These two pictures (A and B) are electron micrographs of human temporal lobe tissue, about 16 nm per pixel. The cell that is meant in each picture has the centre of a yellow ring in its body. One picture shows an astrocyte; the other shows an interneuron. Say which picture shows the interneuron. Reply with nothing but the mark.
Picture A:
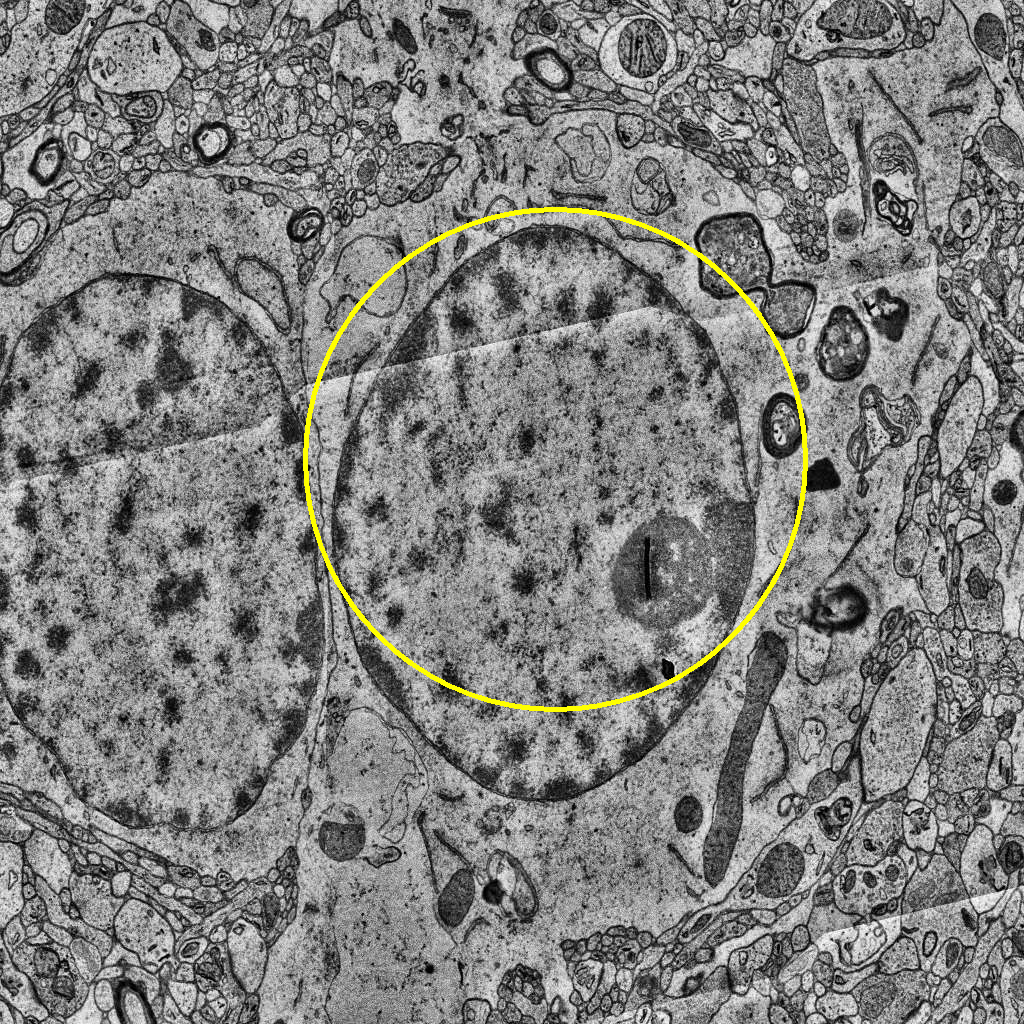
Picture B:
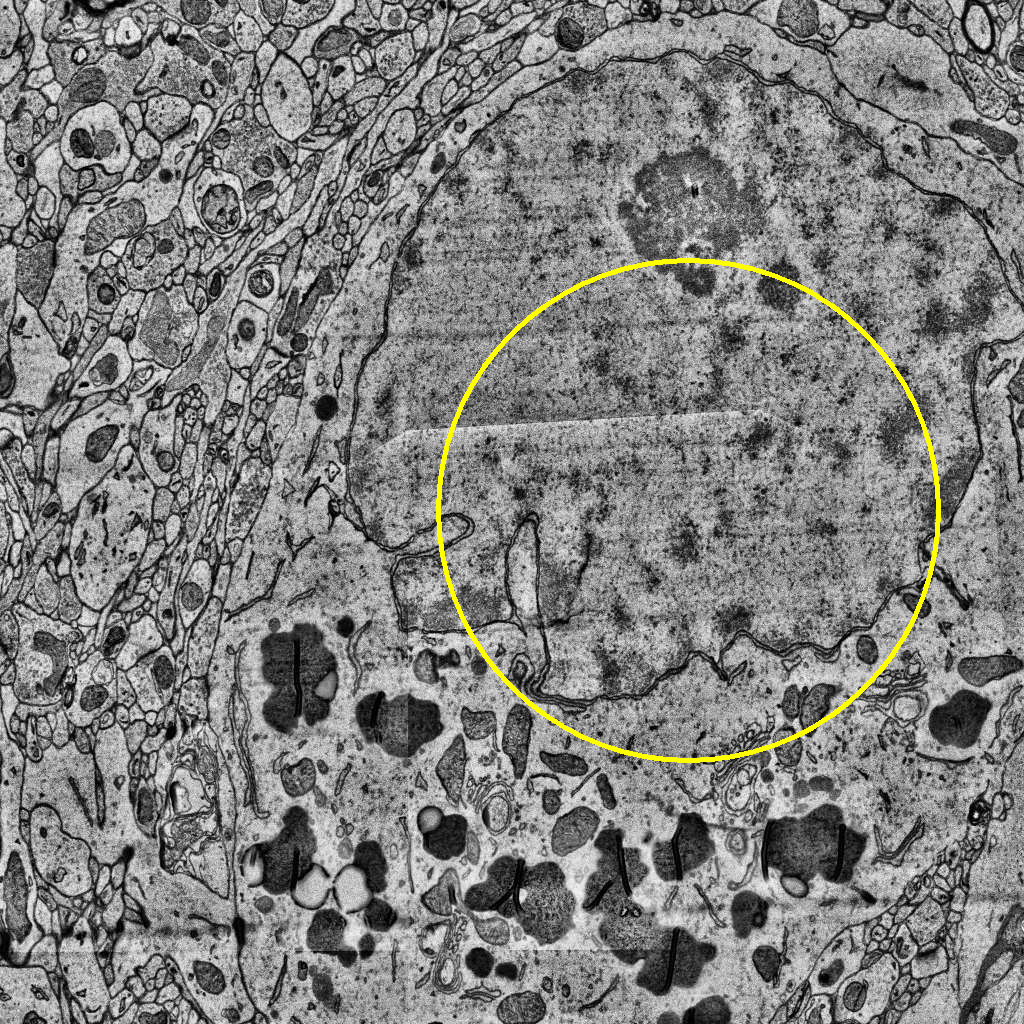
B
